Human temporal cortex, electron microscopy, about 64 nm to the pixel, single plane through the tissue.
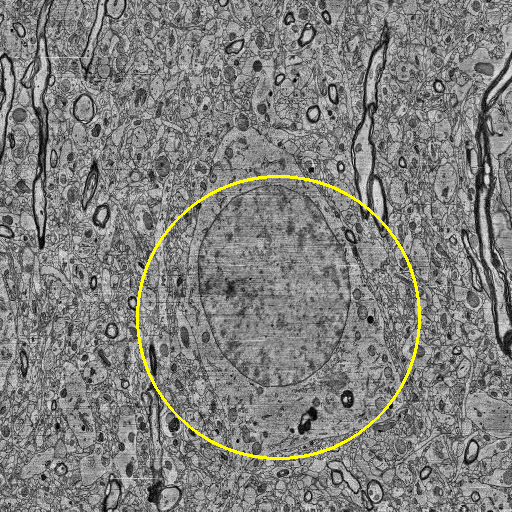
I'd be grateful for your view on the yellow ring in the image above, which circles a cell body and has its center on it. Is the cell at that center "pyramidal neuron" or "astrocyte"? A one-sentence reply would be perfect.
The cell at the center of the yellow ring is a pyramidal neuron.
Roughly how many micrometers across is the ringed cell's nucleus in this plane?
The nucleus is approximately 13 micrometers long by 10 micrometers wide in this plane.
